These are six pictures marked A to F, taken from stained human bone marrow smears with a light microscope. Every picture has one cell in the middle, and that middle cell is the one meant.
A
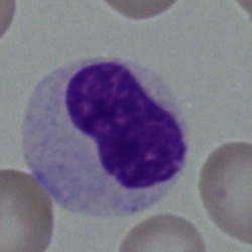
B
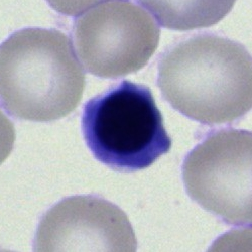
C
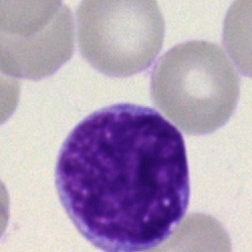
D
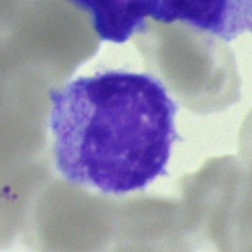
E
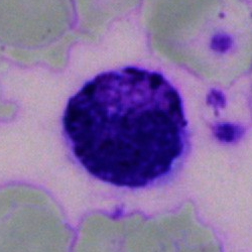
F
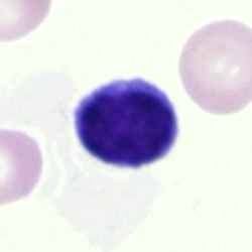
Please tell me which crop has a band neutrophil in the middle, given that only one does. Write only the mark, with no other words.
A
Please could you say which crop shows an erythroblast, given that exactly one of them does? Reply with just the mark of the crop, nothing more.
B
